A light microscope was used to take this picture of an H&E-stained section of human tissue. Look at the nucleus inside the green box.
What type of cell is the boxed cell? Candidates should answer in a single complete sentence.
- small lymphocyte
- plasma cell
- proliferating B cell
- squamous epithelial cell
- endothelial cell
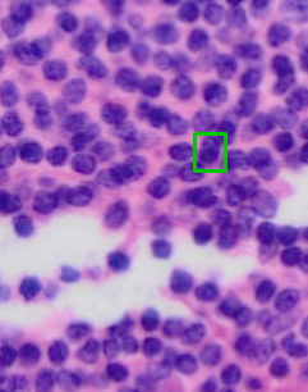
In the stained section, the boxed cell is a small lymphocyte.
